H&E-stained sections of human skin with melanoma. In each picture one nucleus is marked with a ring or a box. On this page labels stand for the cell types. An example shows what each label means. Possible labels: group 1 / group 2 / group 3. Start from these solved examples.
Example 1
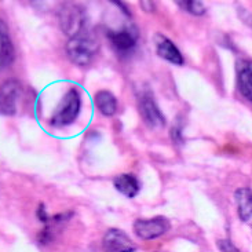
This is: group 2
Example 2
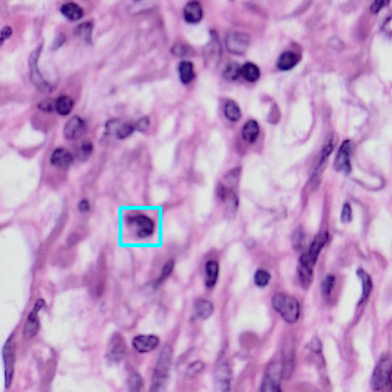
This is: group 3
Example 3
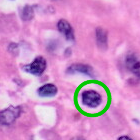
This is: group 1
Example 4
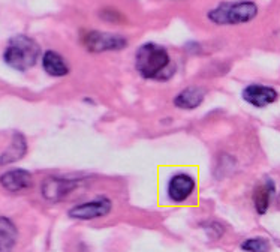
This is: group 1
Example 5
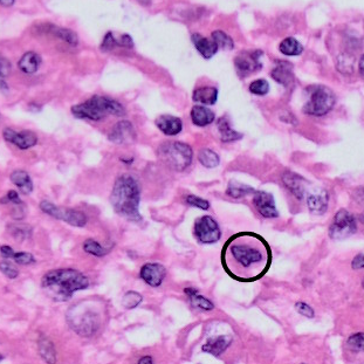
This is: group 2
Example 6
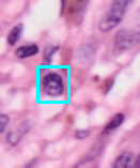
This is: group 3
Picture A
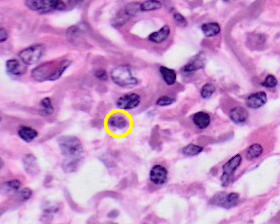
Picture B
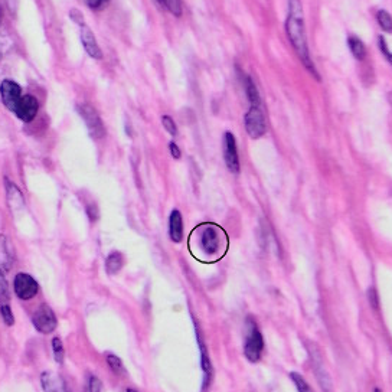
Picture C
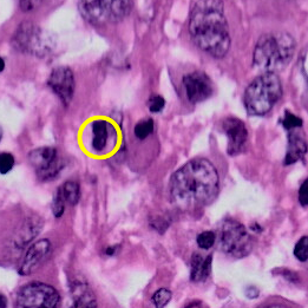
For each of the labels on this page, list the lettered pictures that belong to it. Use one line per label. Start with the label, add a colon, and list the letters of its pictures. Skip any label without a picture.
group 1: C
group 3: A, B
